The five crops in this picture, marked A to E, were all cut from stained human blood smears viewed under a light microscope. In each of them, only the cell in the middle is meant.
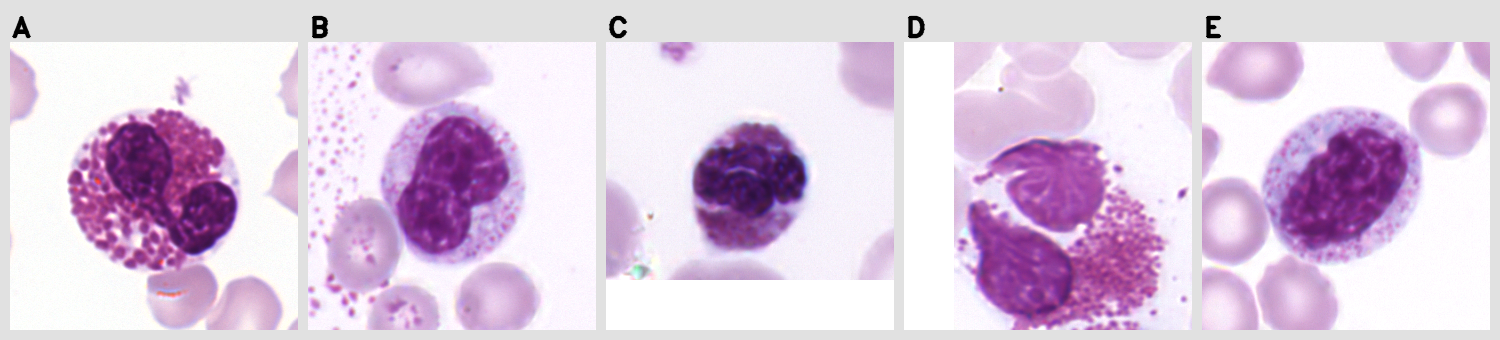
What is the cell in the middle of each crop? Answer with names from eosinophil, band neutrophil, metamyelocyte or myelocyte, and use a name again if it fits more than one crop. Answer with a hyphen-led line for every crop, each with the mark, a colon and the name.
- A: eosinophil
- B: metamyelocyte
- C: eosinophil
- D: eosinophil
- E: metamyelocyte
